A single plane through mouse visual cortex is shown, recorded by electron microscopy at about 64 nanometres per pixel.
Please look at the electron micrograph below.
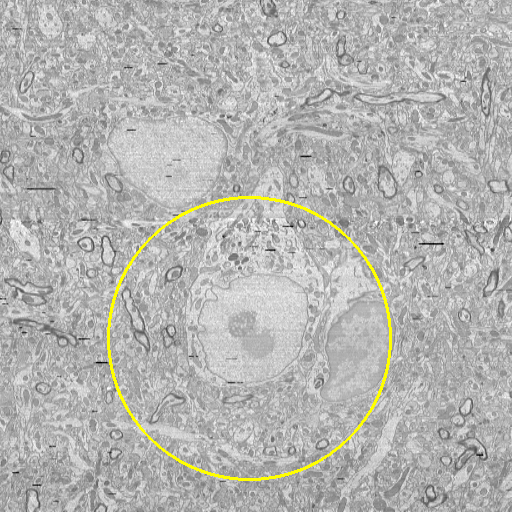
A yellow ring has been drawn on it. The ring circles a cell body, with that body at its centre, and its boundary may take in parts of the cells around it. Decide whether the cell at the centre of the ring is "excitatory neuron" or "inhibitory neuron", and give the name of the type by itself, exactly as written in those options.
inhibitory neuron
